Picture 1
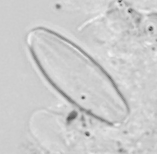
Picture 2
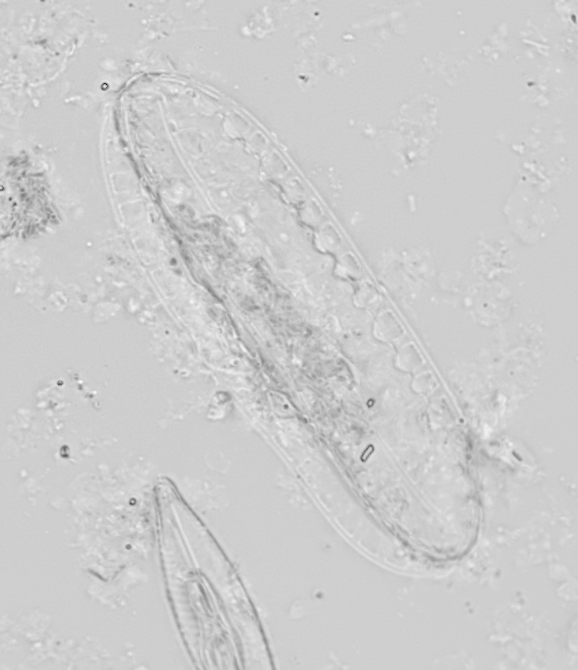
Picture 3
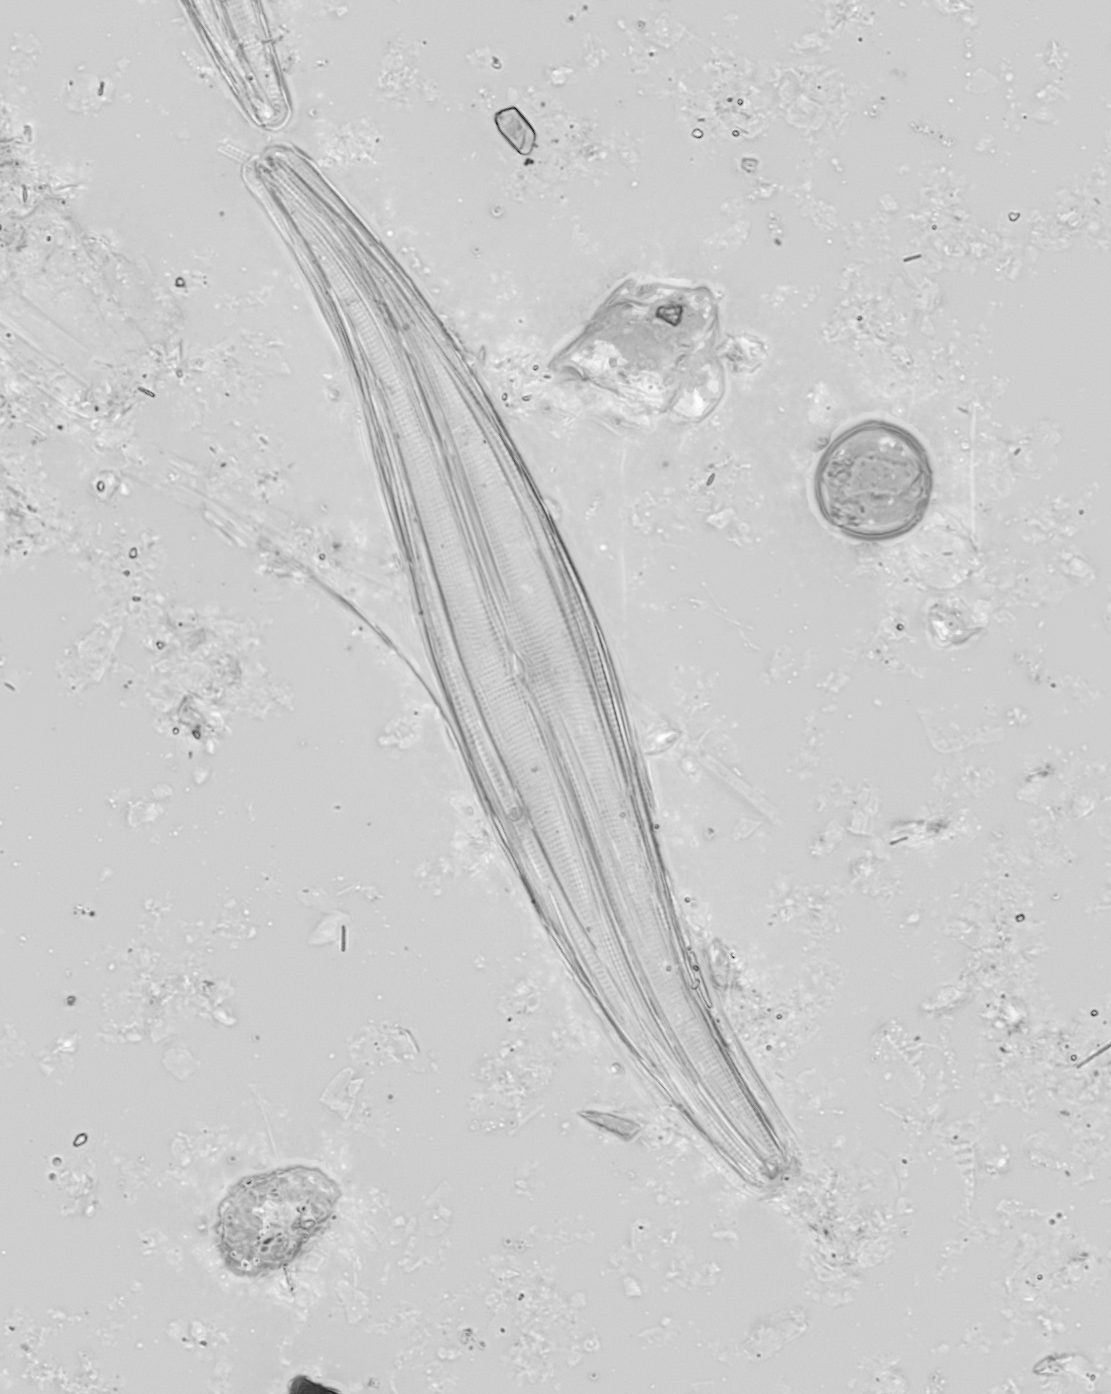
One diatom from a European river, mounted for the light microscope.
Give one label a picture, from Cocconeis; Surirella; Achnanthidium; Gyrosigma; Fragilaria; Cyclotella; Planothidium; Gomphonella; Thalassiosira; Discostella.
Picture 1: Achnanthidium
Picture 2: Surirella
Picture 3: Gyrosigma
